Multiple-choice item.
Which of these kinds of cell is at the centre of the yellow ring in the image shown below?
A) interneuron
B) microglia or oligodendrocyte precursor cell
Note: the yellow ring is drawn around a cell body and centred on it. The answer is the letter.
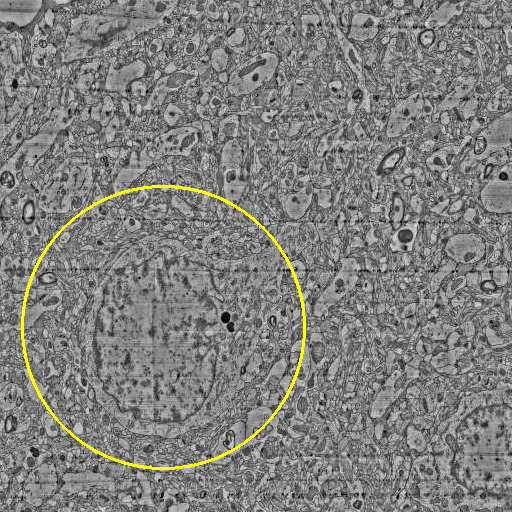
A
